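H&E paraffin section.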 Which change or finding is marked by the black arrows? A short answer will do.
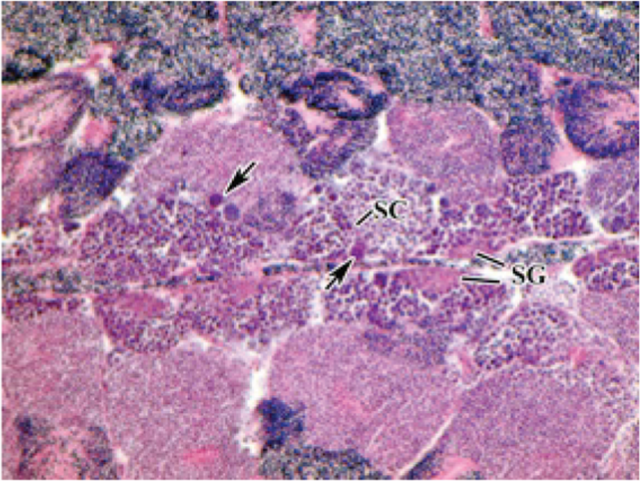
Germ cell necrosis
